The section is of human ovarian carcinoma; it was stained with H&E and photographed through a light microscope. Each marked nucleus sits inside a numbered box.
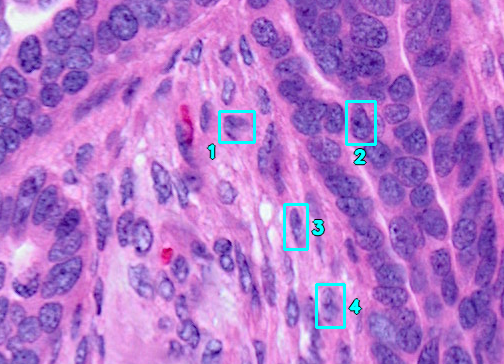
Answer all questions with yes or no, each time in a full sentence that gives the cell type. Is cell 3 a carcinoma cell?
No, what number 3 shows is a fibroblast, not a carcinoma cell.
